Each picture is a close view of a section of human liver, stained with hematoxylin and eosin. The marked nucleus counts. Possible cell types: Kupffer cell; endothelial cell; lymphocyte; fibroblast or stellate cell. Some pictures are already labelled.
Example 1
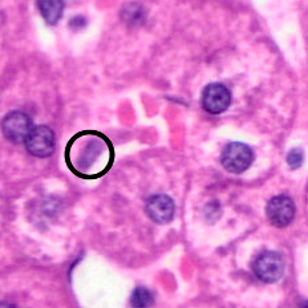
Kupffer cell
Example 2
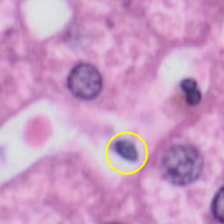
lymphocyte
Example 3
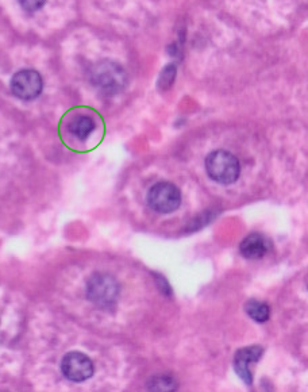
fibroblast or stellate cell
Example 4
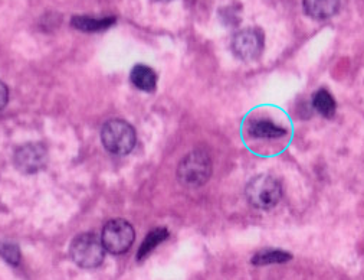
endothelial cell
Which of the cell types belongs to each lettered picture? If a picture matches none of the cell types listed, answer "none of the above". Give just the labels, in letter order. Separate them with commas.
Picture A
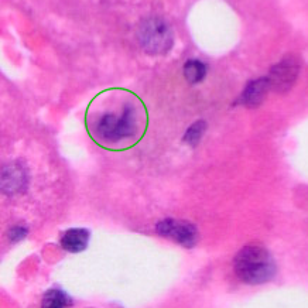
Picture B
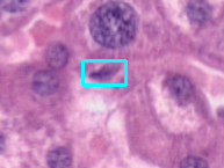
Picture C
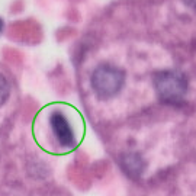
Kupffer cell, endothelial cell, lymphocyte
